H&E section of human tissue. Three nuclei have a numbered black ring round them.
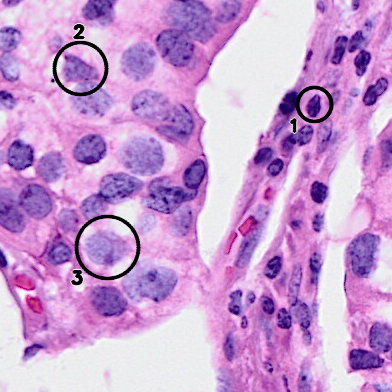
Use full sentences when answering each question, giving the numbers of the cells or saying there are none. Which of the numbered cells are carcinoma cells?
The cells with numbers 2 and 3 are carcinoma cells by type.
